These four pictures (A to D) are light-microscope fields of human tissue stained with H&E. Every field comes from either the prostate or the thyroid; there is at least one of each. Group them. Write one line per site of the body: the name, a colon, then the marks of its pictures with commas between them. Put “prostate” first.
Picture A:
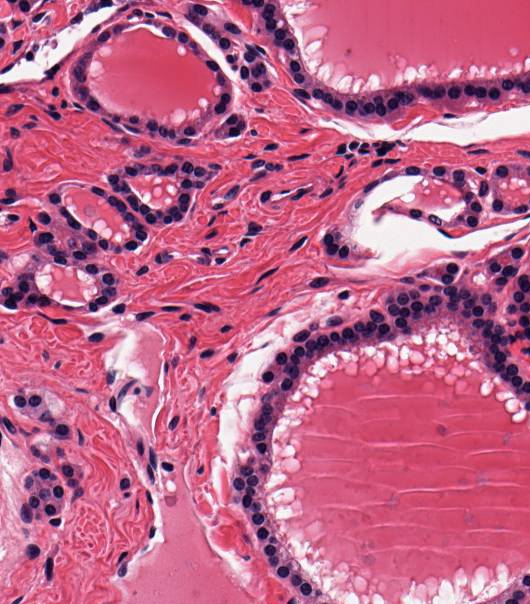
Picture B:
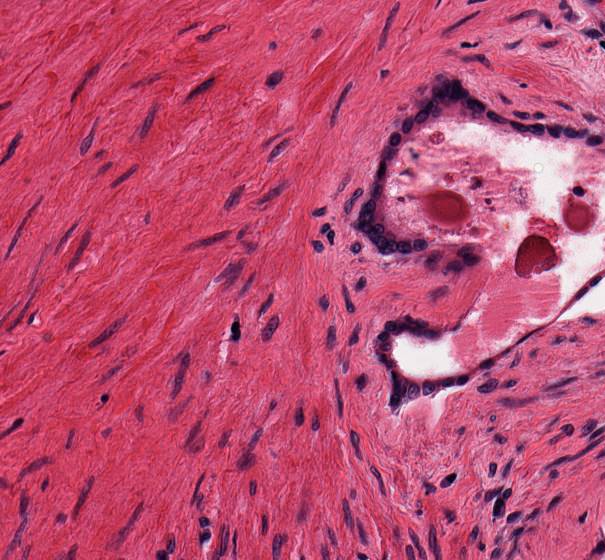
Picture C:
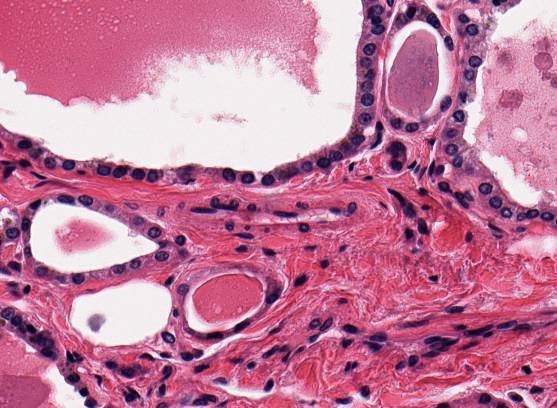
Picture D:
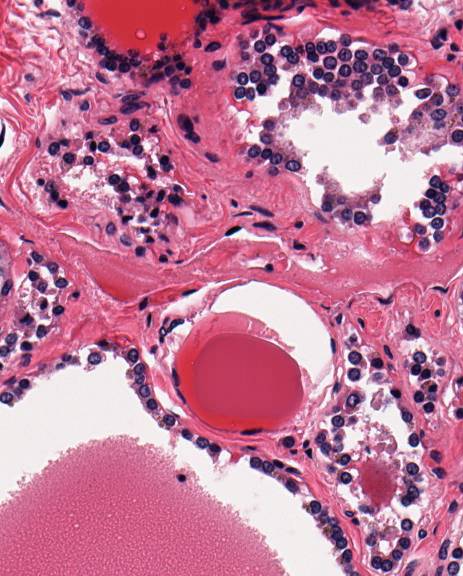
prostate: B
thyroid: A, C, D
